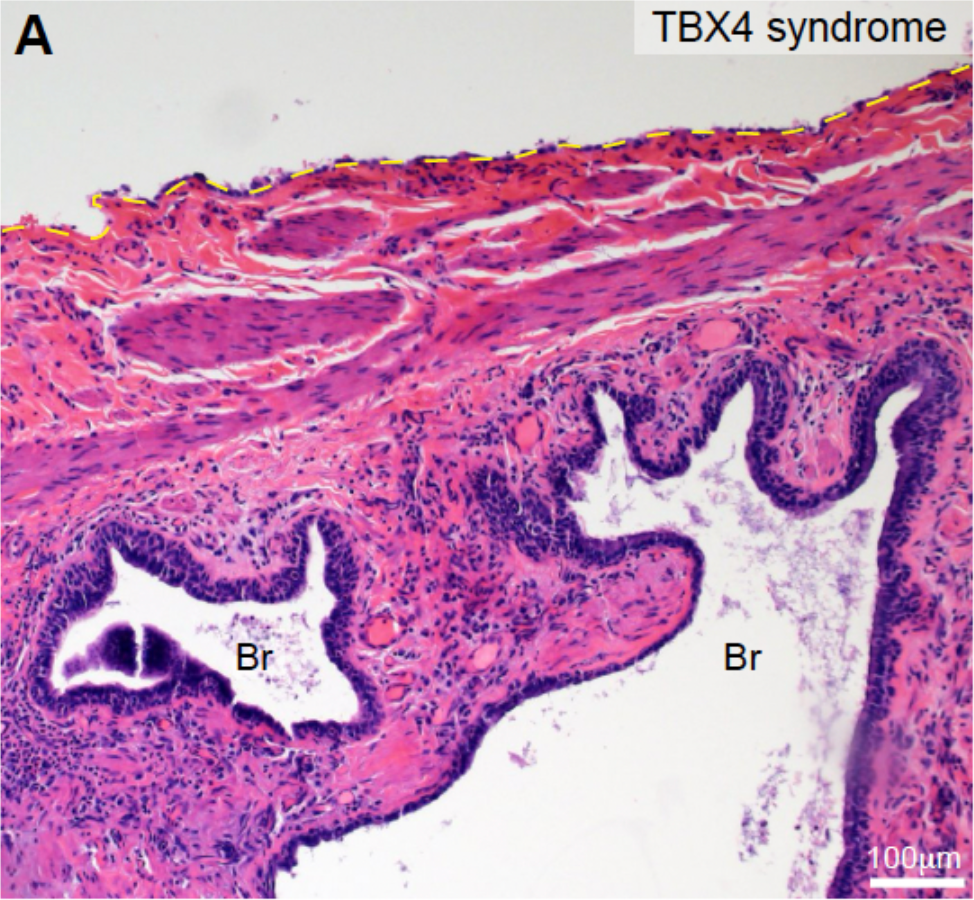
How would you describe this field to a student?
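This section shows conducting airways lying directly beneath the pleural surface, which is marked by the dashed line at the top. The airways are lined by a dark purple, densely nucleated epithelium that is thrown into folds around irregular, open lumens. The lumens contain faint pale-purple material. Pink bands of smooth muscle and connective tissue wrap the airways and fill the space between them and the surface. Small round vessels containing red cells are scattered in this wall. No fine alveolar meshwork is seen between the airways and the pleura.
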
